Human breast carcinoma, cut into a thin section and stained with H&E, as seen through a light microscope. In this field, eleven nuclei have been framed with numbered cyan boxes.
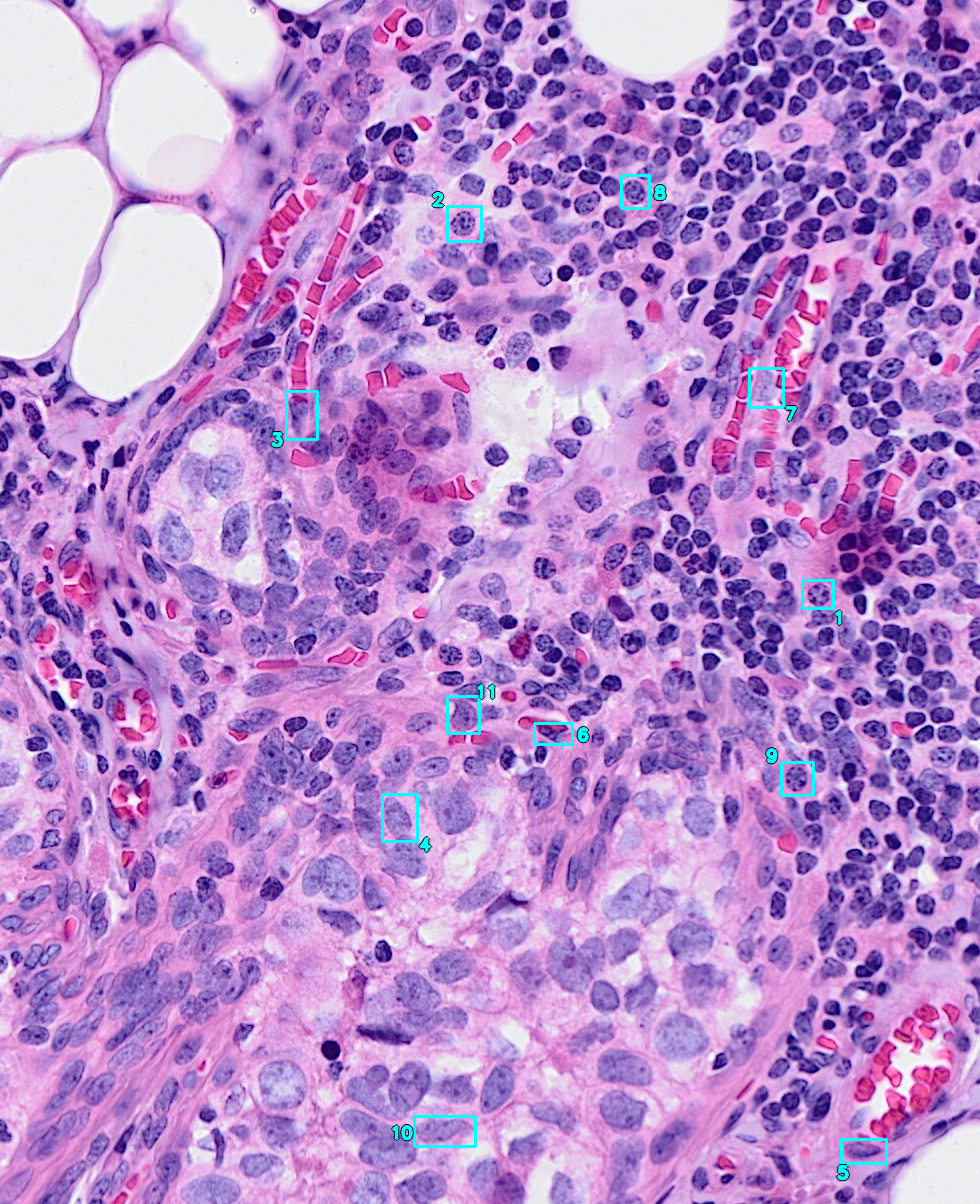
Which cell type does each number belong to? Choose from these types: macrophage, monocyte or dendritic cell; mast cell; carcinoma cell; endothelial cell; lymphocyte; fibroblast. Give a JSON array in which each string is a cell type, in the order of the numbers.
["mast cell", "mast cell", "endothelial cell", "carcinoma cell", "endothelial cell", "endothelial cell", "endothelial cell", "mast cell", "mast cell", "carcinoma cell", "endothelial cell"]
